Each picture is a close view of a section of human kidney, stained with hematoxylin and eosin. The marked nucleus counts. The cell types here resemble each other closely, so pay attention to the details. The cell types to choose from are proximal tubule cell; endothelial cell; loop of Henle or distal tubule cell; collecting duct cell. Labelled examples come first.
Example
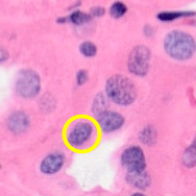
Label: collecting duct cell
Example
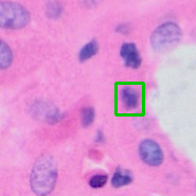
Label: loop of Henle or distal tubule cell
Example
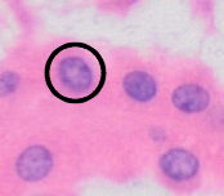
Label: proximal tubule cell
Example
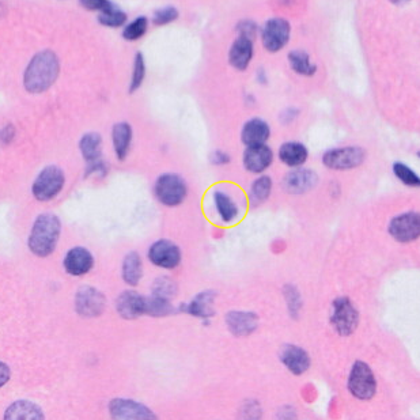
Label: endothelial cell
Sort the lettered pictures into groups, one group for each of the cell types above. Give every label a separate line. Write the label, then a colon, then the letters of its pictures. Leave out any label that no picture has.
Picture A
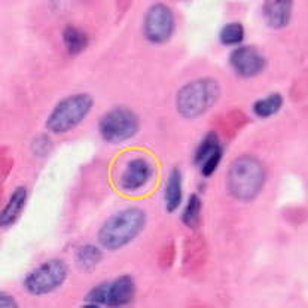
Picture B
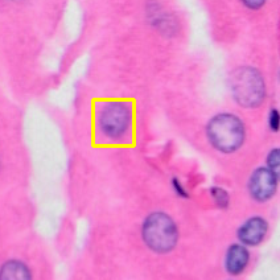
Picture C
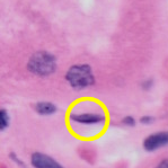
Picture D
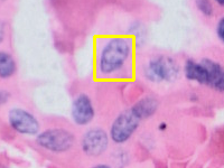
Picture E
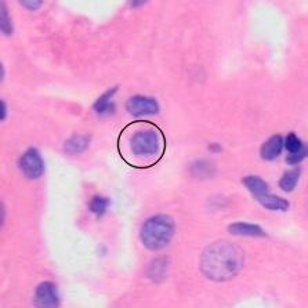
proximal tubule cell: B
endothelial cell: C
loop of Henle or distal tubule cell: E
collecting duct cell: A, D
